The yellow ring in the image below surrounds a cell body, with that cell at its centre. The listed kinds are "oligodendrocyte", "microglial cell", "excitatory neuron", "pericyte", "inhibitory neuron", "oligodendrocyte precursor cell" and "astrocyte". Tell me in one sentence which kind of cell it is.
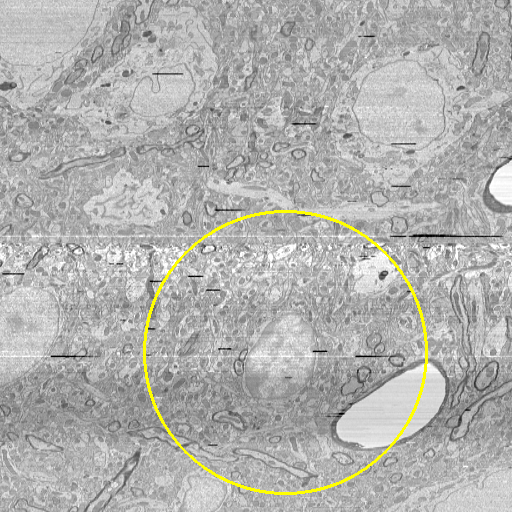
The centre of the ring holds an oligodendrocyte.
